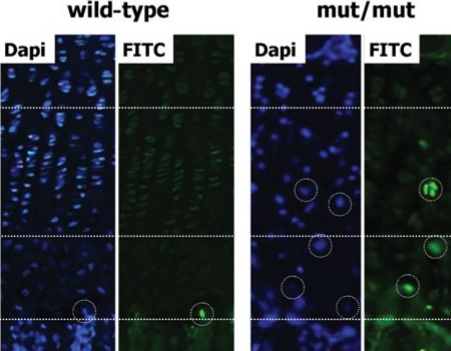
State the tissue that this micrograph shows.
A: Growth plate.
